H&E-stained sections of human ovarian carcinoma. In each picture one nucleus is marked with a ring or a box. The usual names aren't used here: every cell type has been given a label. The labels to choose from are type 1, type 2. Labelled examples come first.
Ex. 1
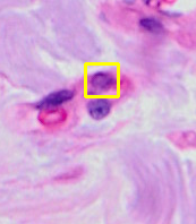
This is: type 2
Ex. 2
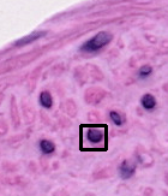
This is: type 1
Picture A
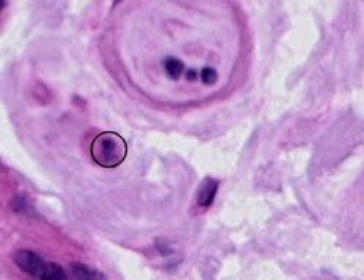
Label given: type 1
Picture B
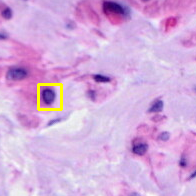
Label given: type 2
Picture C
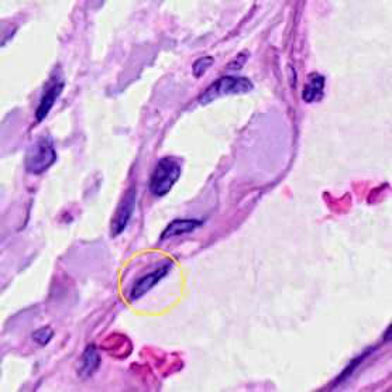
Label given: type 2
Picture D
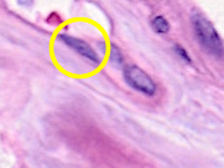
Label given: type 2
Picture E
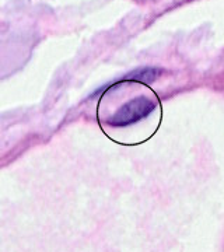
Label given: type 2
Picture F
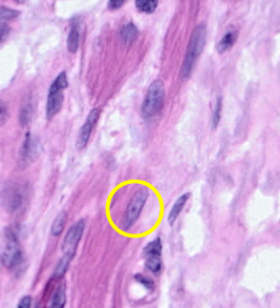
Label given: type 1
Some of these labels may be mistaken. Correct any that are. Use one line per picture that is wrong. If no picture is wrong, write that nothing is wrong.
B is labelled type 2; correct label: type 1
